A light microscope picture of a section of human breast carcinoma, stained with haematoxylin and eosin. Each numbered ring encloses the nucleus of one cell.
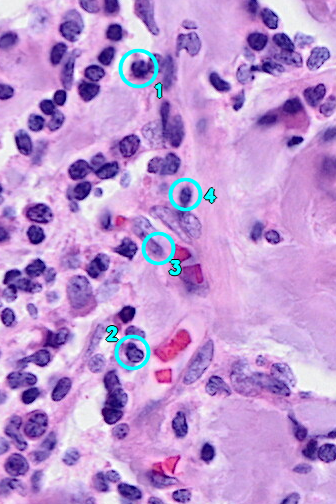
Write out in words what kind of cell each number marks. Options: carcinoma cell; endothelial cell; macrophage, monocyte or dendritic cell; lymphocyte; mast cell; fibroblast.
Cells 1, 2 and 4 are lymphocytes. Cell 3 is an endothelial cell.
